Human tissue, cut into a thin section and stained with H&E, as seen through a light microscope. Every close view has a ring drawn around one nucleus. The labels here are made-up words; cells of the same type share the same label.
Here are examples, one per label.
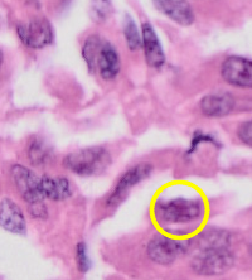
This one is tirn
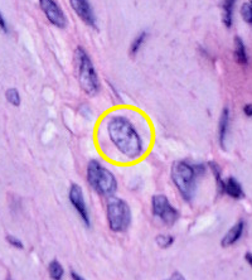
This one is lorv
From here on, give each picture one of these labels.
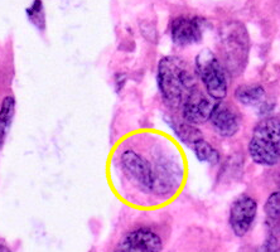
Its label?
tirn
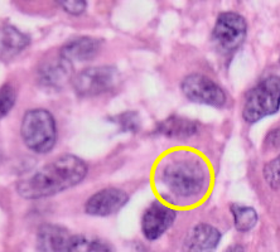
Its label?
tirn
